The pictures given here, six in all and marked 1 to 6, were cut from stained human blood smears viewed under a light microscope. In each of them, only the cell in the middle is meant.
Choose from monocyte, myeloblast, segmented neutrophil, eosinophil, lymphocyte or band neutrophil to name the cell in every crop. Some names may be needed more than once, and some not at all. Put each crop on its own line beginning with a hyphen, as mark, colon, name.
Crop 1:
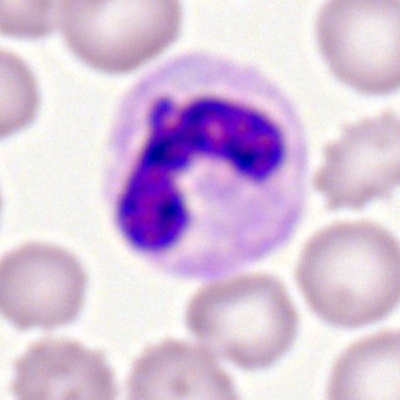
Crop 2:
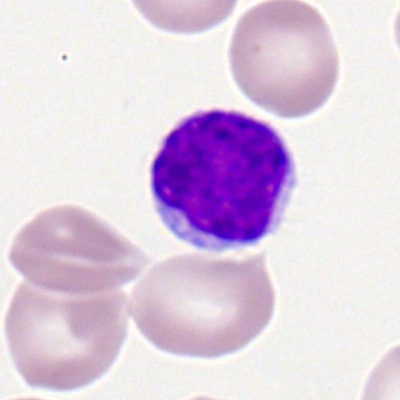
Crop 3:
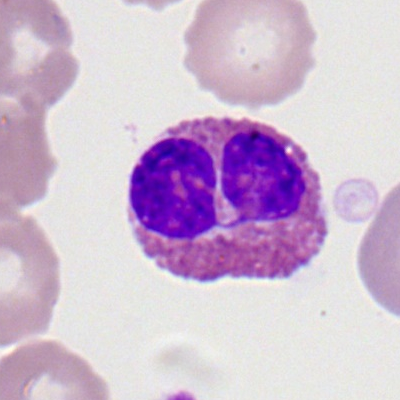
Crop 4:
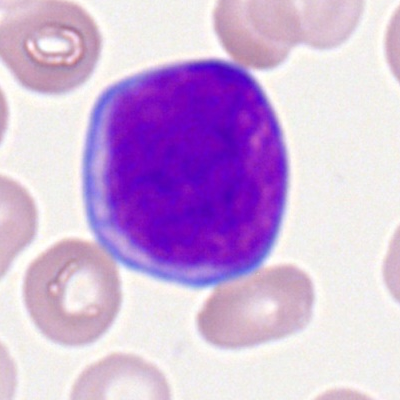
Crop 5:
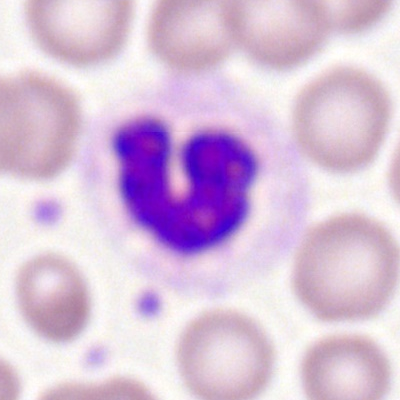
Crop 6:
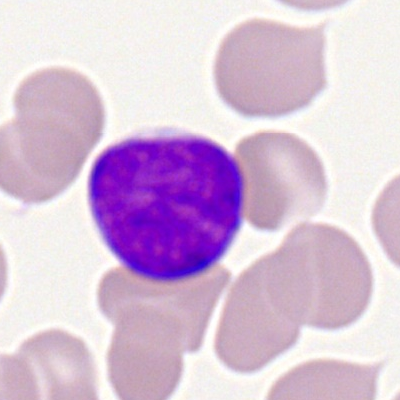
- 1: band neutrophil
- 2: lymphocyte
- 3: eosinophil
- 4: myeloblast
- 5: band neutrophil
- 6: myeloblast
